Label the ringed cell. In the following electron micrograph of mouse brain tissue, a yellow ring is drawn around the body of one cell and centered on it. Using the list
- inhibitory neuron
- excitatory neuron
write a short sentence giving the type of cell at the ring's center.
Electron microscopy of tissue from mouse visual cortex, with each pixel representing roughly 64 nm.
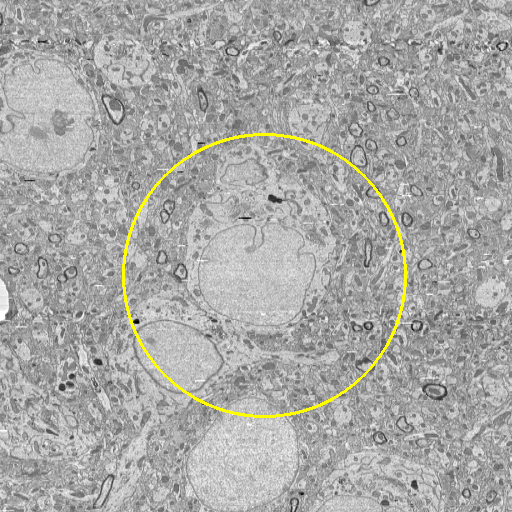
The cell body at the ring's center is that of an excitatory neuron.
